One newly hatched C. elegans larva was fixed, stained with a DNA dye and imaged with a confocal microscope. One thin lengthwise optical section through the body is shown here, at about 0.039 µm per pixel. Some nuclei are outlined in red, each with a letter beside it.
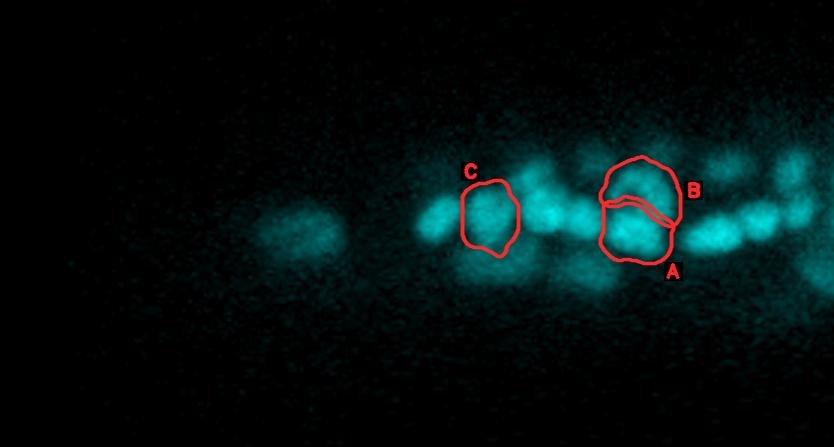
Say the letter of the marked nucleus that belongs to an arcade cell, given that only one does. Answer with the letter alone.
C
